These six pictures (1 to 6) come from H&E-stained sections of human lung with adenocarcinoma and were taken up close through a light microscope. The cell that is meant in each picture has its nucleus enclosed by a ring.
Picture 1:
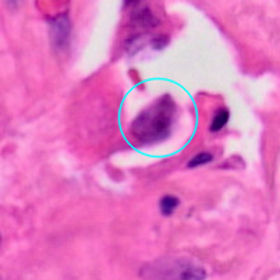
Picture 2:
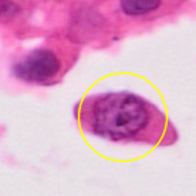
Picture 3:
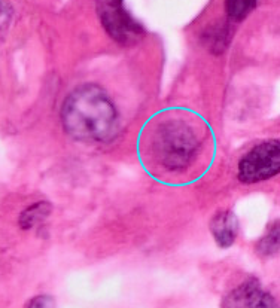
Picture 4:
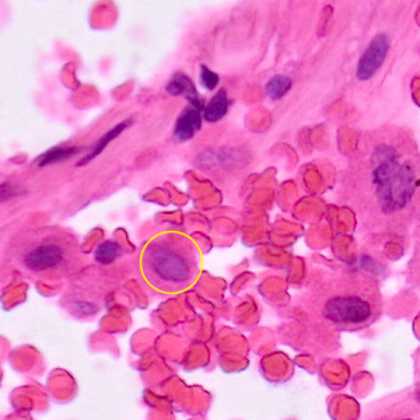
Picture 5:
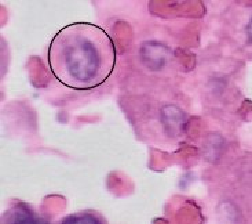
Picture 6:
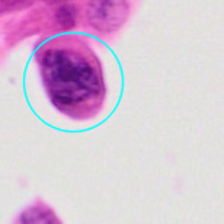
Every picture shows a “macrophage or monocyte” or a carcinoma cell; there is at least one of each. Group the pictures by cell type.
1: carcinoma cell
2: carcinoma cell
3: carcinoma cell
4: macrophage or monocyte
5: macrophage or monocyte
6: carcinoma cell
